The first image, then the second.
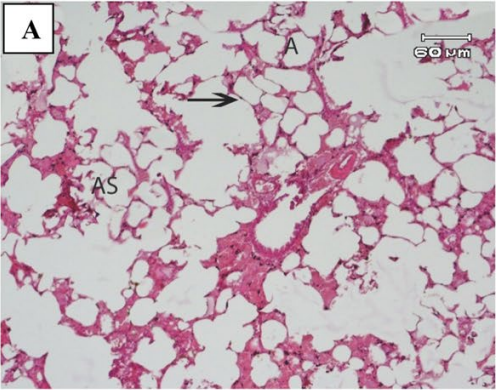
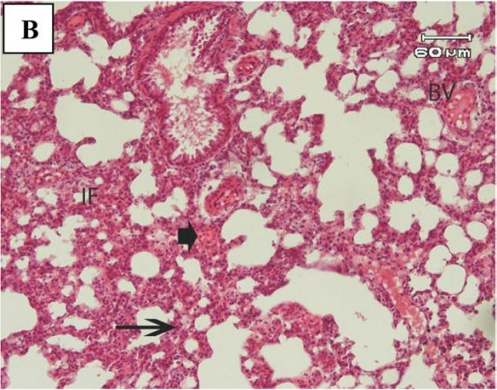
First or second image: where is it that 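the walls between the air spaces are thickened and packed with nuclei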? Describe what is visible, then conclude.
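The second image. Second image: broad, nucleus-rich walls with small, irregular air spaces. First image: thin, delicate walls around large open air spaces.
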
